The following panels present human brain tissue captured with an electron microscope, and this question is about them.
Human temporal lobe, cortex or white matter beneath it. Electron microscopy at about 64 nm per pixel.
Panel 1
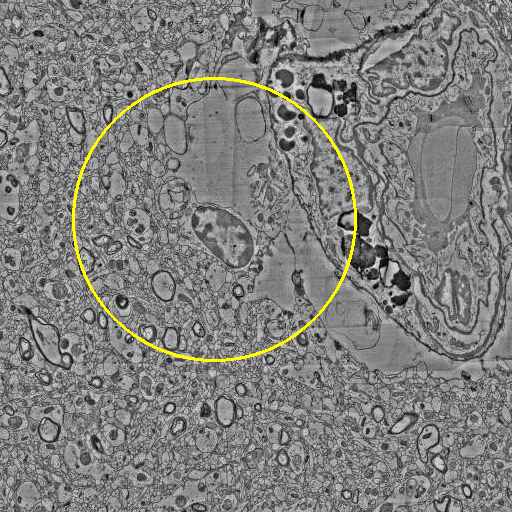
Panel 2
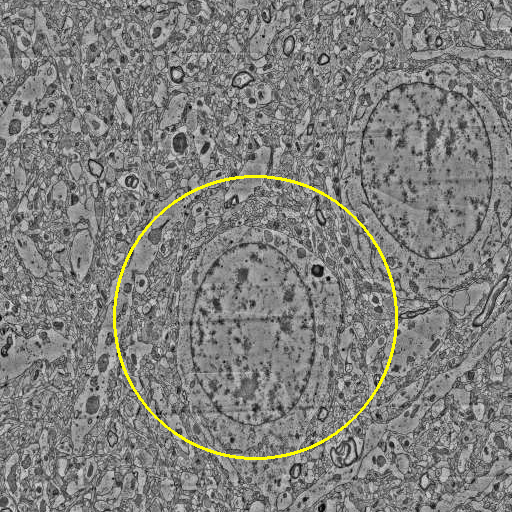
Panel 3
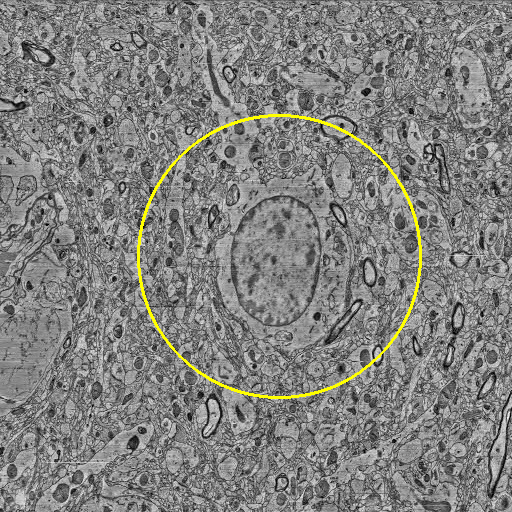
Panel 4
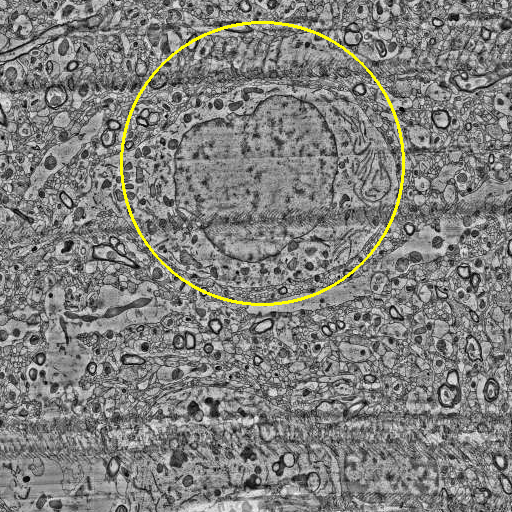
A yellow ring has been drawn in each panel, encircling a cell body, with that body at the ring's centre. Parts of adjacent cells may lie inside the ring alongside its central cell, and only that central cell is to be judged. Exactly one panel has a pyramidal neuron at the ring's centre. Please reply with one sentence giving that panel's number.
The ring whose central cell fits the description is the one in panel 2.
